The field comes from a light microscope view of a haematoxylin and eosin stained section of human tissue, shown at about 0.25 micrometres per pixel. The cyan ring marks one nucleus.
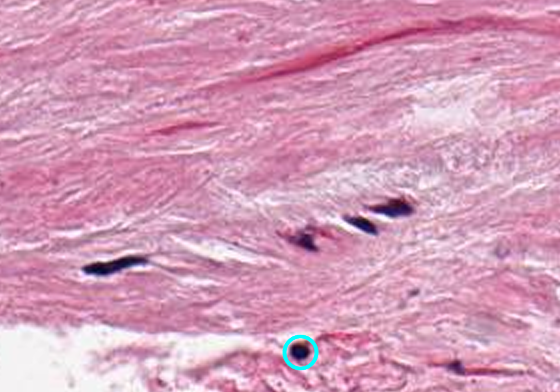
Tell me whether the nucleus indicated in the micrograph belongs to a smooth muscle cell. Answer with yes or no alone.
no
